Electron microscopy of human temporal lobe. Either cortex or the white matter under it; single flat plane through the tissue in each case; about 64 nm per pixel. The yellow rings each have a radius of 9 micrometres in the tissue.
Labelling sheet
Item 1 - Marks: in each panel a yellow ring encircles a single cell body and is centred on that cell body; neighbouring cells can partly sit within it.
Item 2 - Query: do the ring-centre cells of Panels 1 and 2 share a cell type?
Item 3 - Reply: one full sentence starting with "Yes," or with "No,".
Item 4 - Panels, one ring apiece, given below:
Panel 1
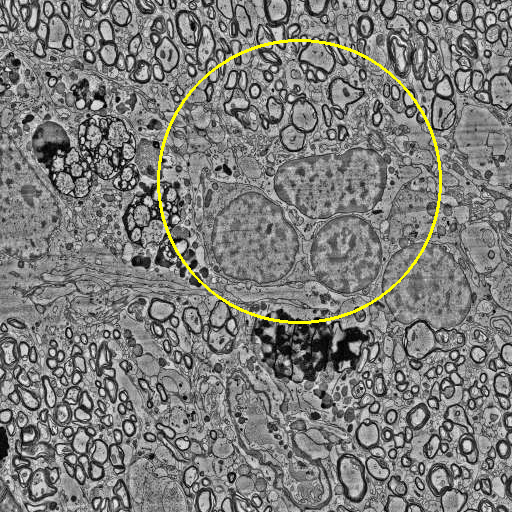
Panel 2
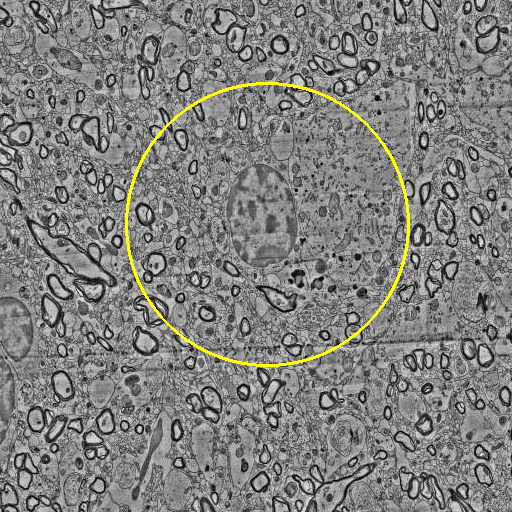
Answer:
Yes, Panel 1 and Panel 2 show one cell type at the centres of their rings.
